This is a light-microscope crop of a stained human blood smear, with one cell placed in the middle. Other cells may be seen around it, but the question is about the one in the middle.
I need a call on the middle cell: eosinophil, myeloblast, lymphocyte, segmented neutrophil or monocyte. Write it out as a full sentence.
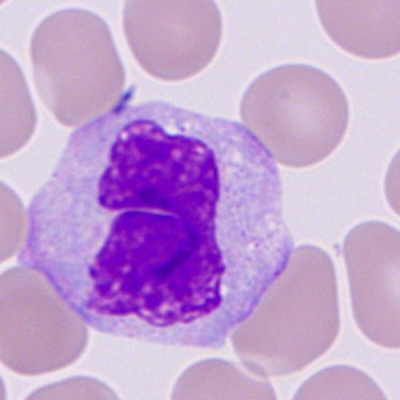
The cell in the middle of the field of view is a monocyte.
